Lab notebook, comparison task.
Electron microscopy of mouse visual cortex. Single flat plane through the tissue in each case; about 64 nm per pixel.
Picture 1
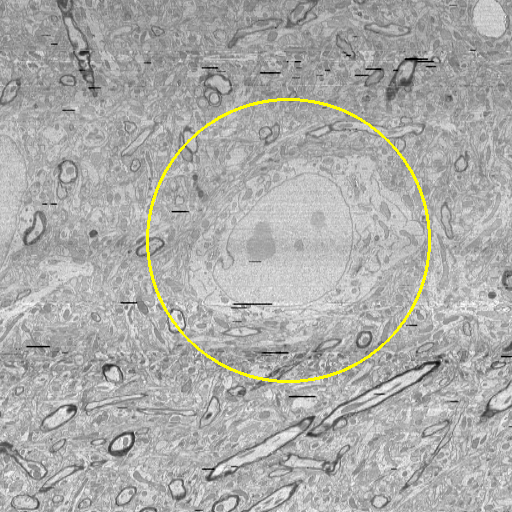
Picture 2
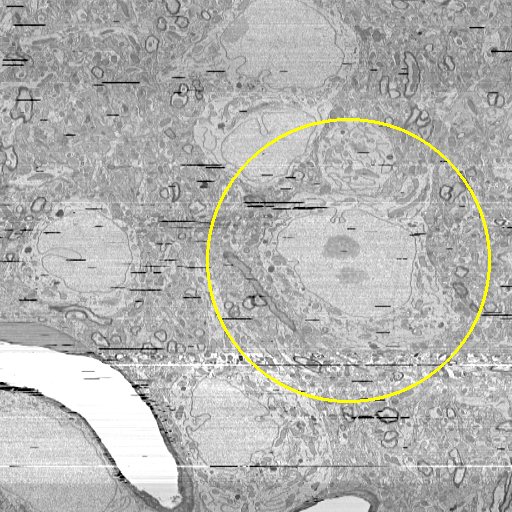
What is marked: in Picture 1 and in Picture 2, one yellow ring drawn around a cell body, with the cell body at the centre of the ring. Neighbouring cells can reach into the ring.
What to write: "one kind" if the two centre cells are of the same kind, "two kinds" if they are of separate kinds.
one kind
